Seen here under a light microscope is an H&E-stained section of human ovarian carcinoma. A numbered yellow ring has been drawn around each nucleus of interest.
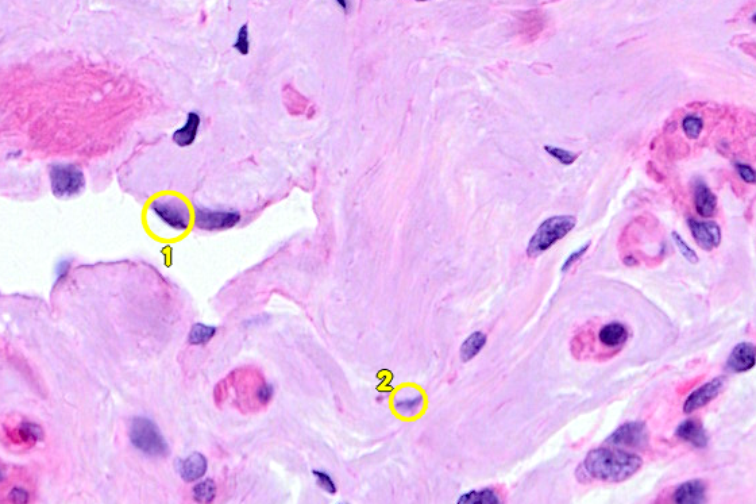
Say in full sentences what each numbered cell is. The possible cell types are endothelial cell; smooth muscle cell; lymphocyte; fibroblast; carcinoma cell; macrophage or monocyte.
Cell 1 is an endothelial cell. Cell 2 is a fibroblast.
